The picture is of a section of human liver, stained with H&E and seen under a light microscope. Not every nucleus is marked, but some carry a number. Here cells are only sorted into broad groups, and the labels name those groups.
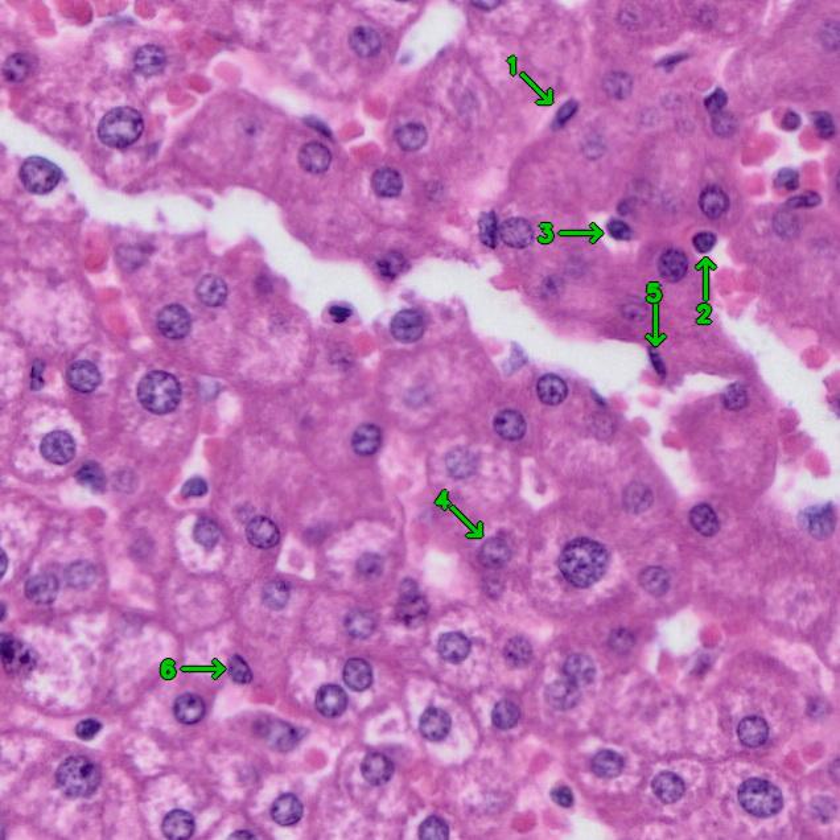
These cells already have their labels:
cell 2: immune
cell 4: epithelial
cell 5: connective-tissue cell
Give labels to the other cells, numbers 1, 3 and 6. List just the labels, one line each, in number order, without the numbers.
connective-tissue cell
immune
connective-tissue cell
